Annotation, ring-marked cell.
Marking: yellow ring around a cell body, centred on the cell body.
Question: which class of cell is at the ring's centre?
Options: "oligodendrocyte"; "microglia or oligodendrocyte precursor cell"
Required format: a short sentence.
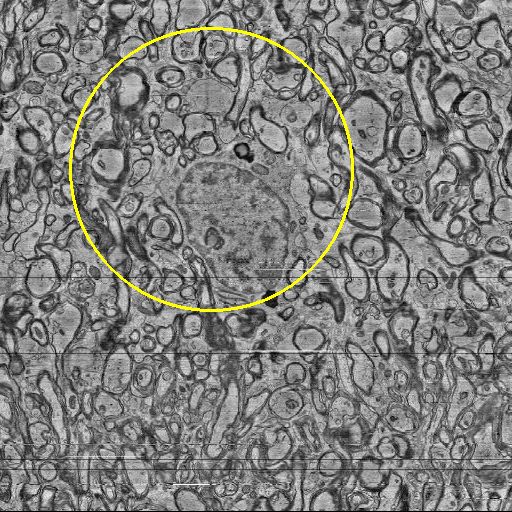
At the ring's centre is an oligodendrocyte.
